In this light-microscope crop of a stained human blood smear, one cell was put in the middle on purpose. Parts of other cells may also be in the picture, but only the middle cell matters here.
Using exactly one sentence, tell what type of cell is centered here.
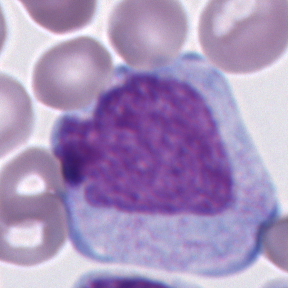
The center cell of this crop is a promyelocyte.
